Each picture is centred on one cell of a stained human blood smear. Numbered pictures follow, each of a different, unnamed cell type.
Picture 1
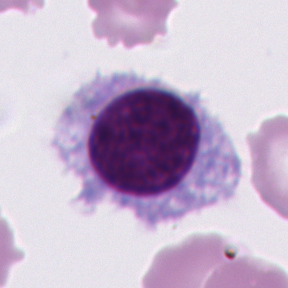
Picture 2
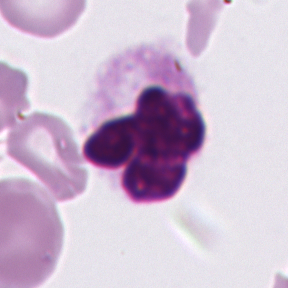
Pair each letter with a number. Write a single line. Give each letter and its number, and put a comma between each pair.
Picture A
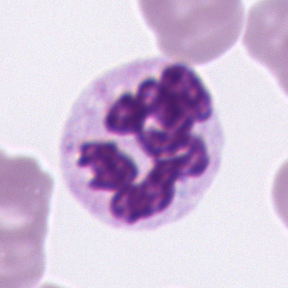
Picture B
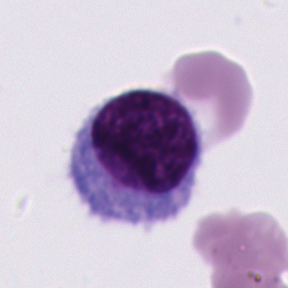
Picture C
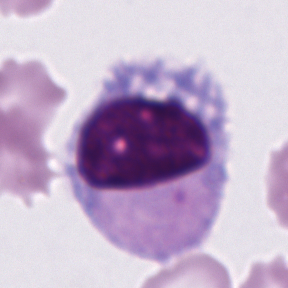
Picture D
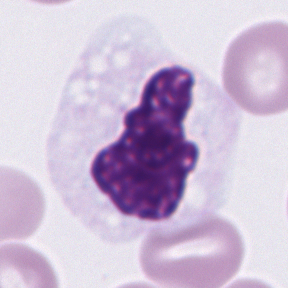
A 2, B 1, C 1, D 2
